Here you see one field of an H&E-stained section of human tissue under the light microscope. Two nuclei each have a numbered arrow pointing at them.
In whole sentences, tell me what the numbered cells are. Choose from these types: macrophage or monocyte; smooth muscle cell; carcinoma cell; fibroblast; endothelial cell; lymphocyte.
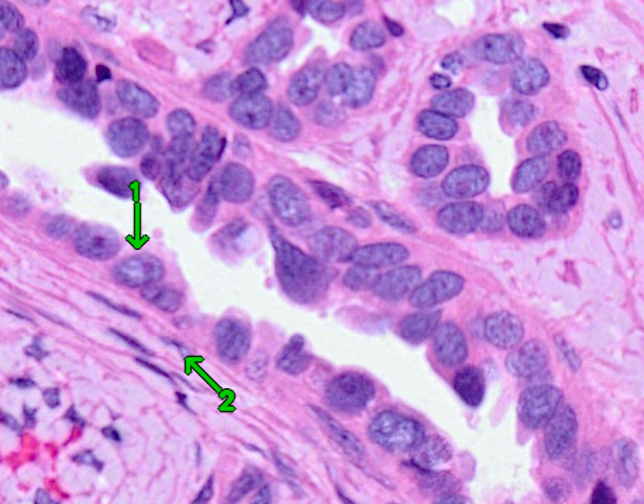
Cell 1 is a carcinoma cell and cell 2 is a fibroblast.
